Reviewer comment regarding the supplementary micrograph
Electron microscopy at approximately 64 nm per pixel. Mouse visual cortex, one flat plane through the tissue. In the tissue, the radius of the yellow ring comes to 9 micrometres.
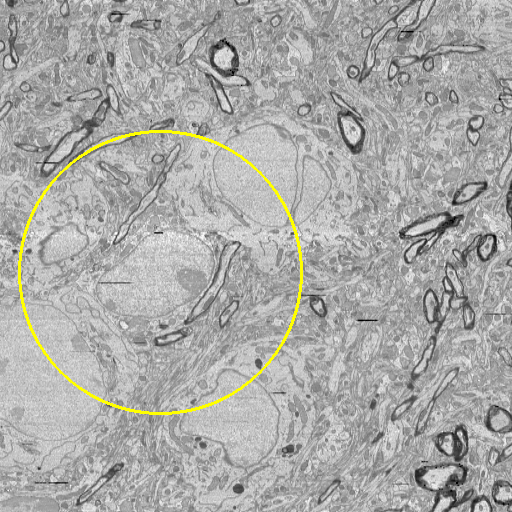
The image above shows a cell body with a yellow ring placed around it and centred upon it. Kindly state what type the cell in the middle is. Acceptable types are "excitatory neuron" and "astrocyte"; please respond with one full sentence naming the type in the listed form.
In the image above, the cell on which the yellow ring is centred is an astrocyte.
